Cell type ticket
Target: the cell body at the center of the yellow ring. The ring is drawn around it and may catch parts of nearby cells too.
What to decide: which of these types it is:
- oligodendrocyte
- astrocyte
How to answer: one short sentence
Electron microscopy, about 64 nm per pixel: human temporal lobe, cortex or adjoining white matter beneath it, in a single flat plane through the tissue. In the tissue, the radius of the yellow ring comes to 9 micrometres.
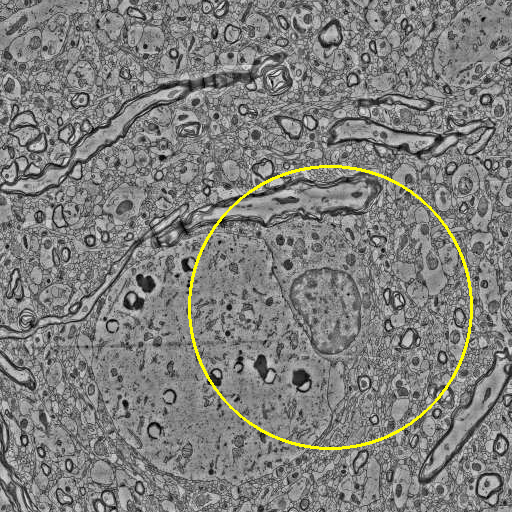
The cell at the center of the ring is an oligodendrocyte.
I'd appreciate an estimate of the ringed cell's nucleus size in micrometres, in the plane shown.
The ringed cell's nucleus measures approximately 6 by 4 micrometres in this plane.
